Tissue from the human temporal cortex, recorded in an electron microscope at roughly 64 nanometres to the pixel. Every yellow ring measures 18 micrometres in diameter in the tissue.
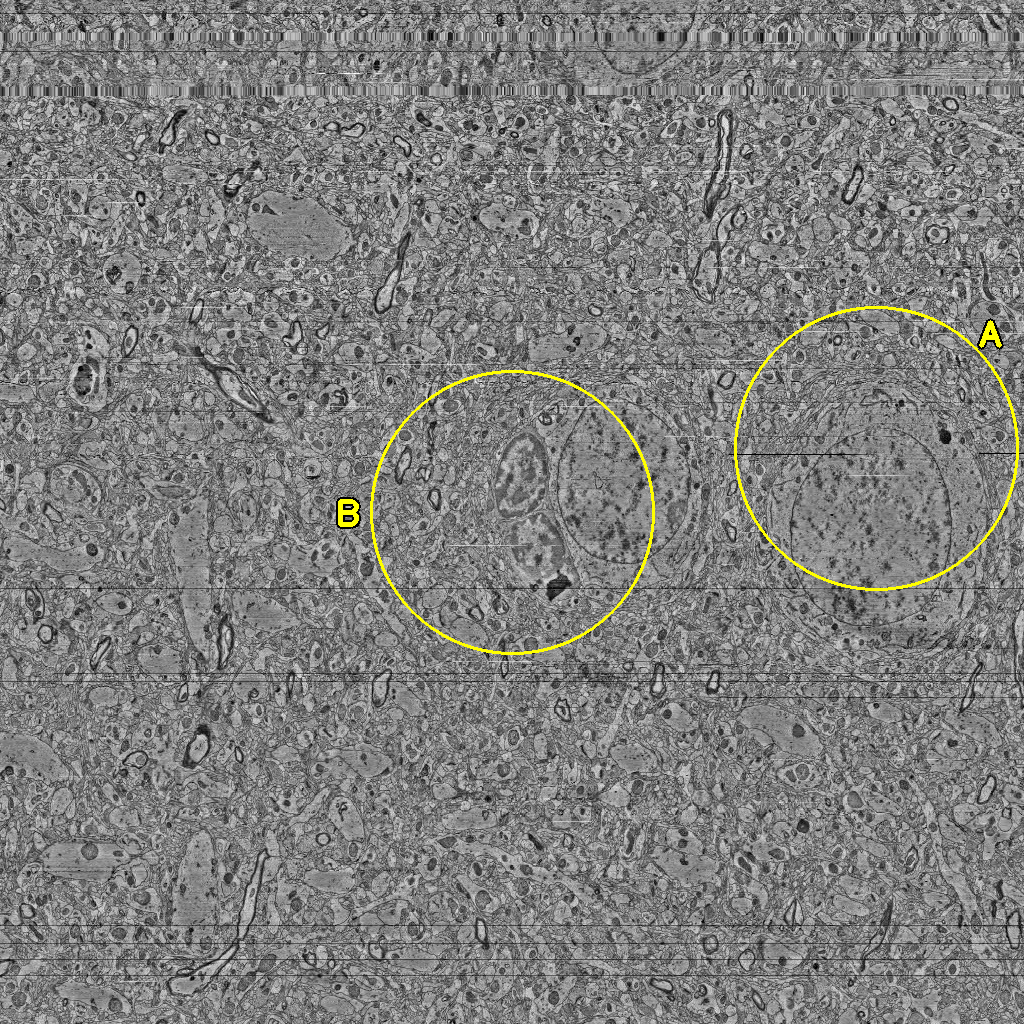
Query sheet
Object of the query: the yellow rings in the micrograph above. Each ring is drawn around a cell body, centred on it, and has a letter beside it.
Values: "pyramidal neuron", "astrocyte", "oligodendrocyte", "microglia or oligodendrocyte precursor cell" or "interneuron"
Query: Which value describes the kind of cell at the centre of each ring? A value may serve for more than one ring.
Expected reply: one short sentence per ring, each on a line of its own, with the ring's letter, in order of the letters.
I assign a pyramidal neuron to ring A.
I assign an oligodendrocyte to ring B.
